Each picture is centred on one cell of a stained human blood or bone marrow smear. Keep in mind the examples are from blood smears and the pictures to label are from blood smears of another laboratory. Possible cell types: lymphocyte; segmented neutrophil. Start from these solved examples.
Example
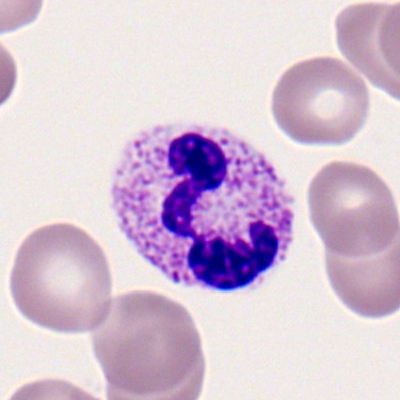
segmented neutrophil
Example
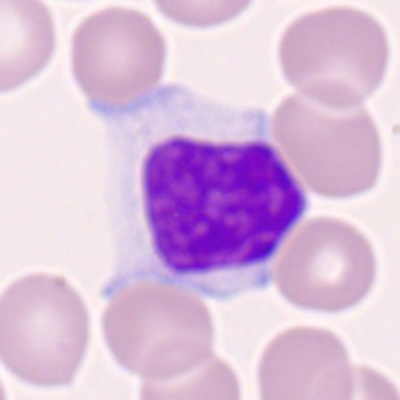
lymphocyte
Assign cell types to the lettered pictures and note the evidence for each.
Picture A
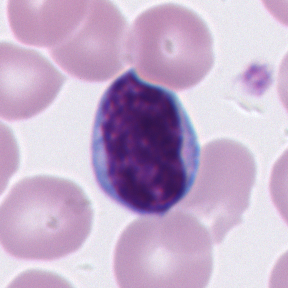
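Answer: lymphocyte. The cytoplasm is a thin rim that is broadest on the left side.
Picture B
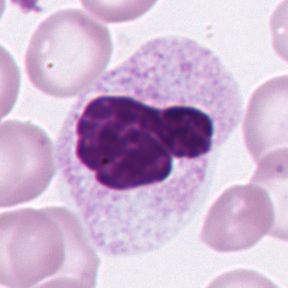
Answer: segmented neutrophil. The cytoplasm is abundant, covering more area than the nucleus.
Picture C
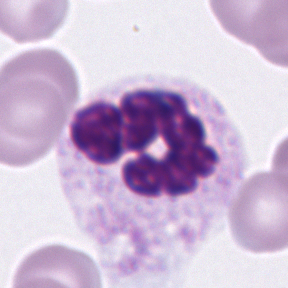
Answer: segmented neutrophil. The lobes are arranged in a ring around a small pale gap in the centre.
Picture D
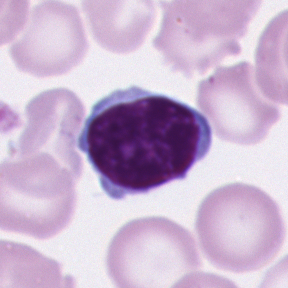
Answer: lymphocyte. The cytoplasm forms a narrow pale blue rim around the nucleus.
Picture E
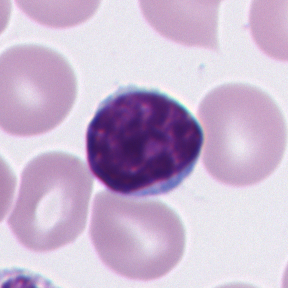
Answer: lymphocyte. The cytoplasm is scant and shows mainly as a thin crescent along the lower edge of the cell.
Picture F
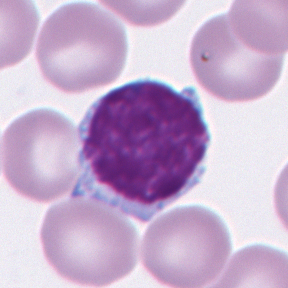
Answer: lymphocyte. The cytoplasm forms only a narrow rim around the nucleus.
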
